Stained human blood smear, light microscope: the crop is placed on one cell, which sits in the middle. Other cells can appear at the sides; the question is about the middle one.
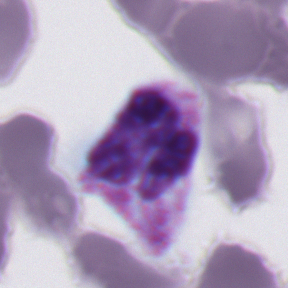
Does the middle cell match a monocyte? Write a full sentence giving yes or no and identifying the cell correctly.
No, the cell at the centre is categorised not as a monocyte but as a segmented neutrophil.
